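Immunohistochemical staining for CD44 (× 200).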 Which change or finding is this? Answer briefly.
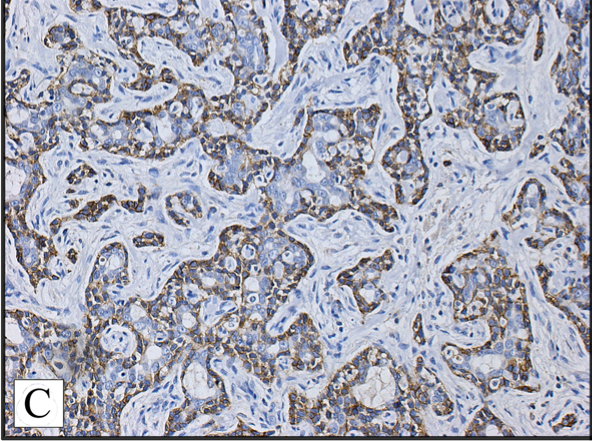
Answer: Adenoid cystic carcinoma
